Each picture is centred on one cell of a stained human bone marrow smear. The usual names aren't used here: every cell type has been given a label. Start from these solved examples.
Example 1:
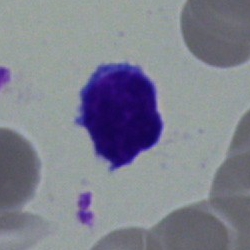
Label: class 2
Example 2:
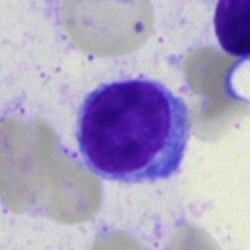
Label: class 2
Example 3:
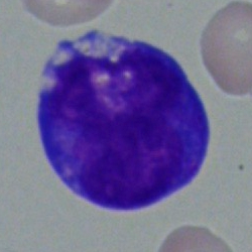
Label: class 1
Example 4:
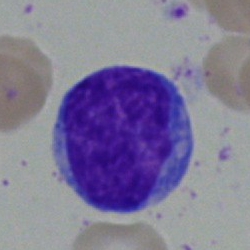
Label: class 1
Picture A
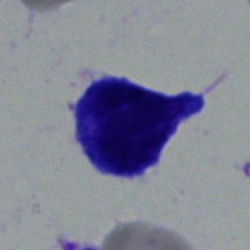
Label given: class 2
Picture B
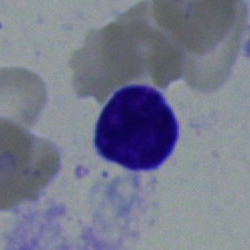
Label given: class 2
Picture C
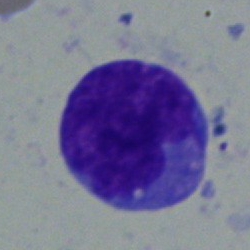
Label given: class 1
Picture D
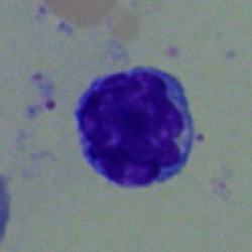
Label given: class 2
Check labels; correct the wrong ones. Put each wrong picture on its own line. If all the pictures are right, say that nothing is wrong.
Every label is right.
